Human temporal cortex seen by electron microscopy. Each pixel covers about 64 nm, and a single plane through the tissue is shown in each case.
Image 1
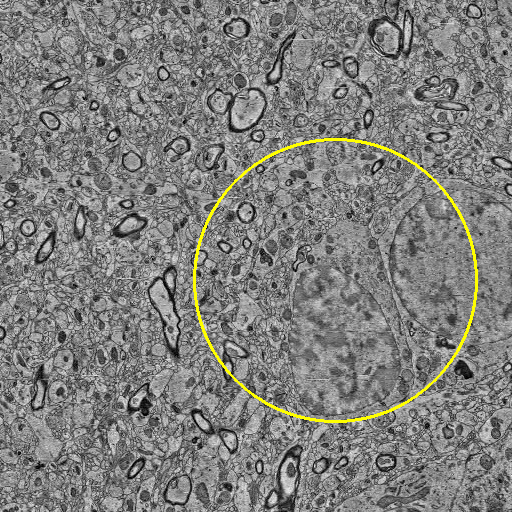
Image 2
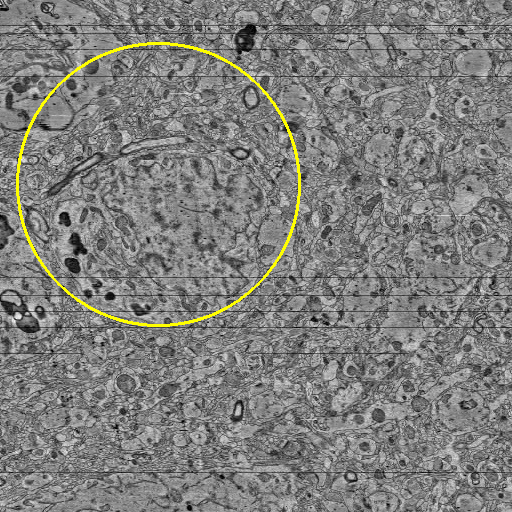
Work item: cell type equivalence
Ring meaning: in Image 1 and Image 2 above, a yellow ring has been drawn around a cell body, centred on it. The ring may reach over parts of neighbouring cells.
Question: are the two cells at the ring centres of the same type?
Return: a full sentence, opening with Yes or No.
No, the two centred cells are of two types.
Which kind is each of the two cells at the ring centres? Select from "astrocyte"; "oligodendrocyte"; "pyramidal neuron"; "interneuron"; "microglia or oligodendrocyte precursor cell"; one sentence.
The cell at the centre of the ring is an oligodendrocyte in the first picture and an interneuron in the second.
